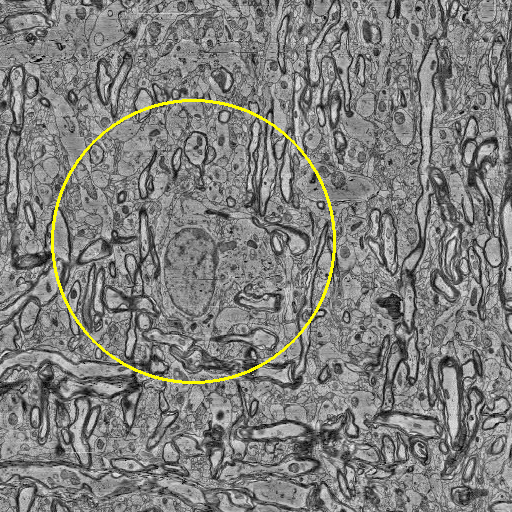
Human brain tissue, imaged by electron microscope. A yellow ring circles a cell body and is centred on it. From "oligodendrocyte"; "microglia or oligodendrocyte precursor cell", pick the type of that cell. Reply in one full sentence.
The cell body at the centre of the yellow ring belongs to a microglial cell or oligodendrocyte precursor cell.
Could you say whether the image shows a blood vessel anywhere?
No.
